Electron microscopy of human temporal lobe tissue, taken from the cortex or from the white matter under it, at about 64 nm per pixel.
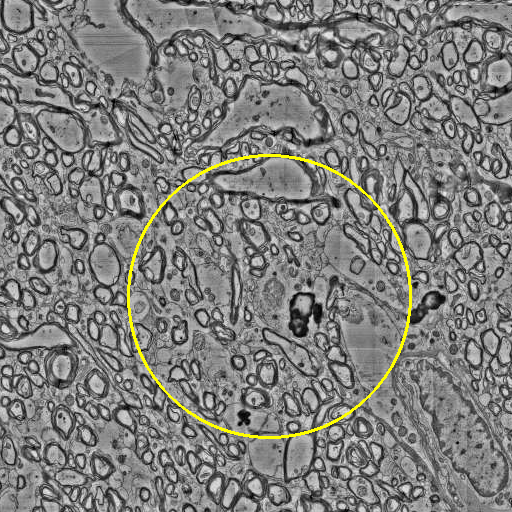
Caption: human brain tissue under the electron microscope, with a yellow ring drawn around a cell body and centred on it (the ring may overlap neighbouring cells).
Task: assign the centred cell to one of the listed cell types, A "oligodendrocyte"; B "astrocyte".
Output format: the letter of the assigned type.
A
